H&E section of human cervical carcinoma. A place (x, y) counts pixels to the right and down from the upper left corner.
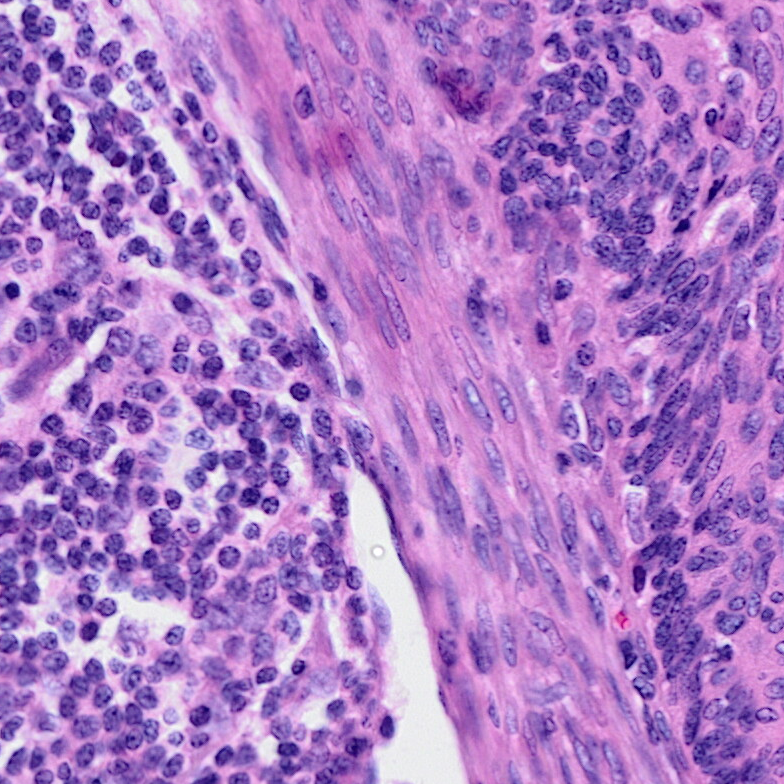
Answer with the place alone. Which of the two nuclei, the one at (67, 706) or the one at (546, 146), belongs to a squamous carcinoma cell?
(546, 146)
